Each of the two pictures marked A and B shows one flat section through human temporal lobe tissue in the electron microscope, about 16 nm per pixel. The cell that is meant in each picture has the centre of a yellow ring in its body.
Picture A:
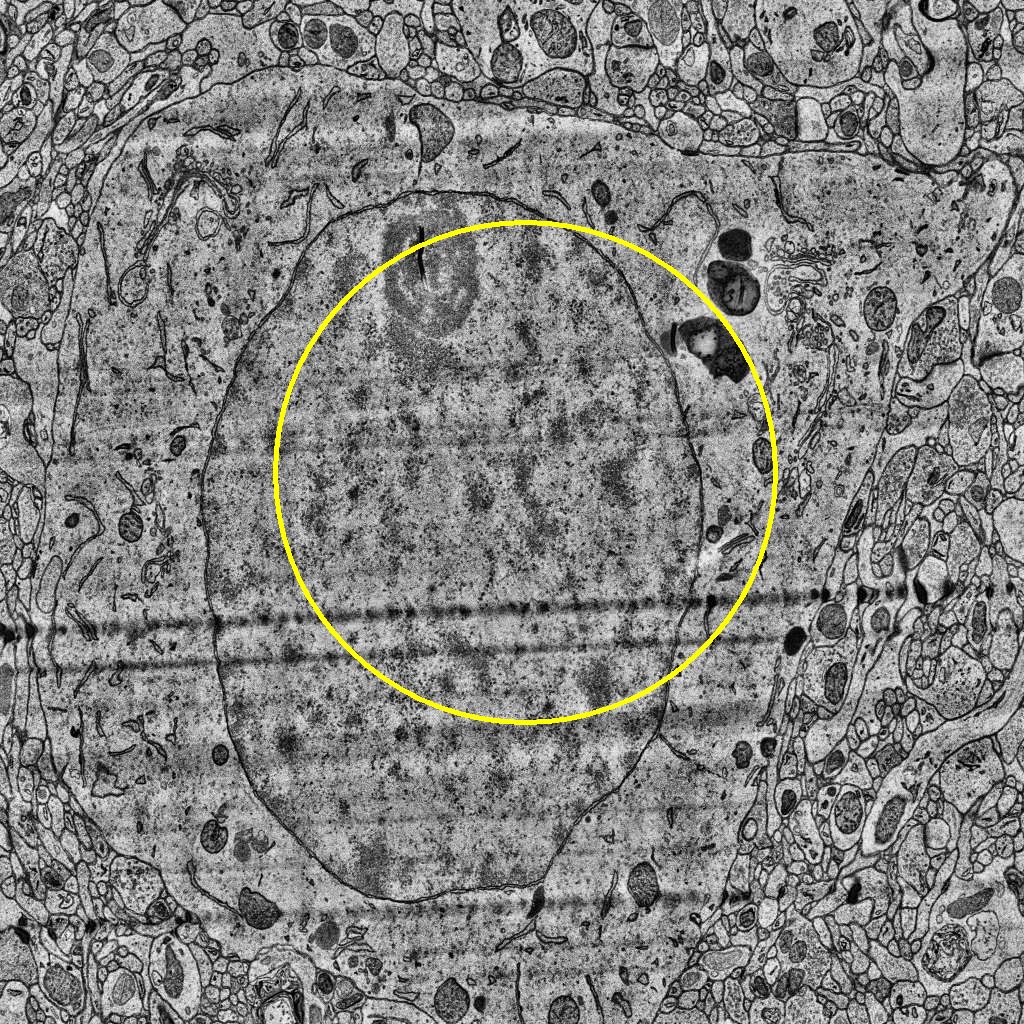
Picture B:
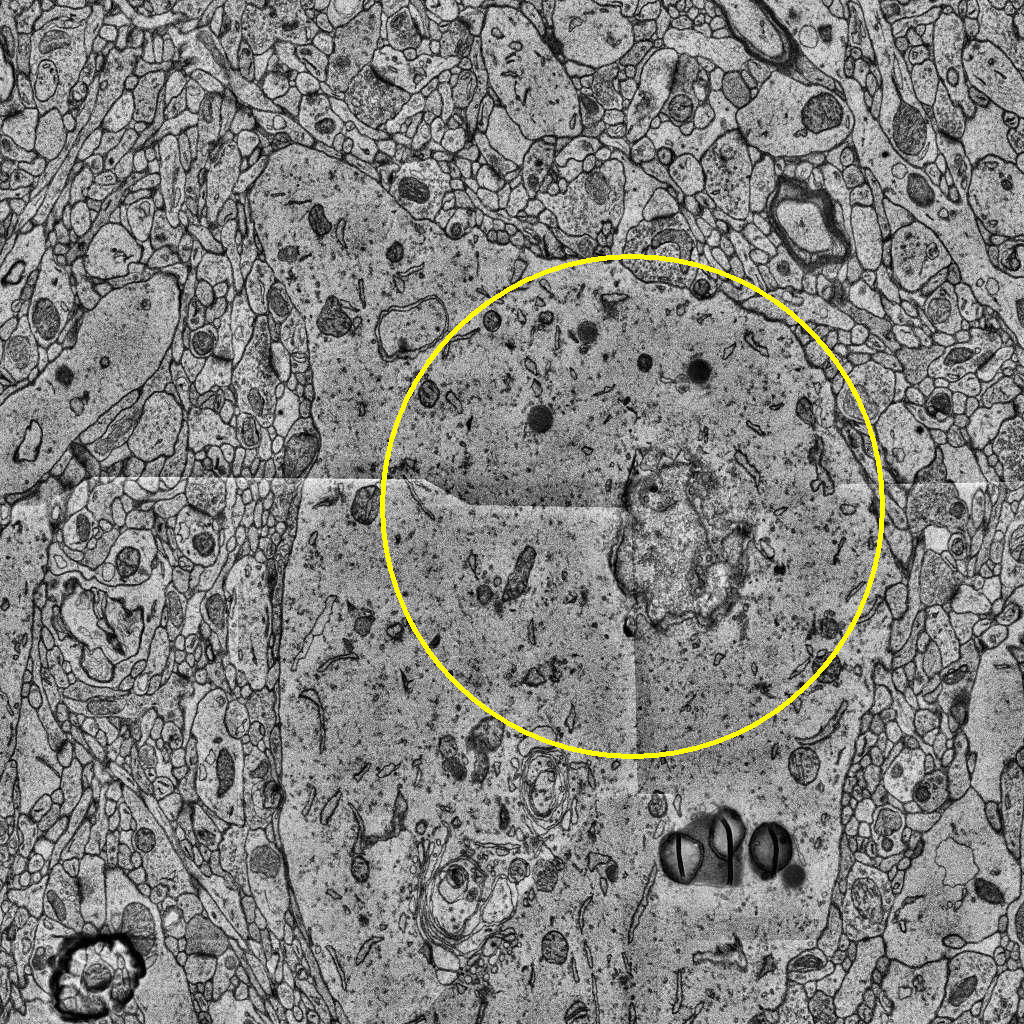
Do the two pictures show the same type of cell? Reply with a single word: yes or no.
yes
